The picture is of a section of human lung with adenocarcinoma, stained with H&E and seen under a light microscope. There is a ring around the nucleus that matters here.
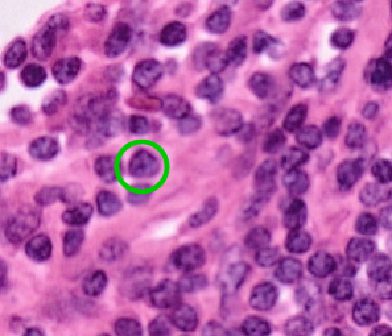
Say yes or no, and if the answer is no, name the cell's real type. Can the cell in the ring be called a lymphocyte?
Yes.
